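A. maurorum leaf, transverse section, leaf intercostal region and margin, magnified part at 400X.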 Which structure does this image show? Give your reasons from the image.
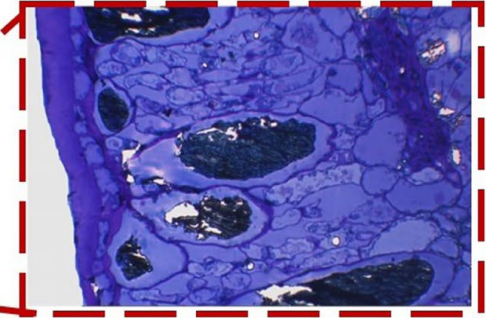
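Gland. Large elongated bodies filled with dark blue-black content lie beneath the epidermis. Ordinary thin-walled parenchyma cells surround them.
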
